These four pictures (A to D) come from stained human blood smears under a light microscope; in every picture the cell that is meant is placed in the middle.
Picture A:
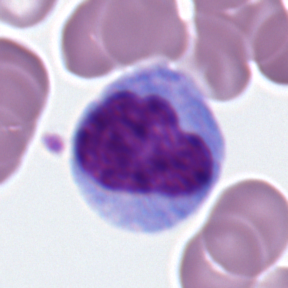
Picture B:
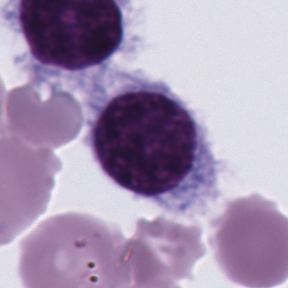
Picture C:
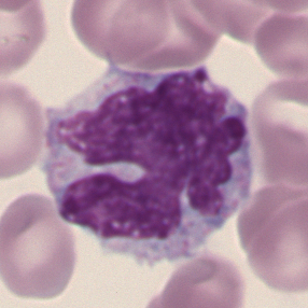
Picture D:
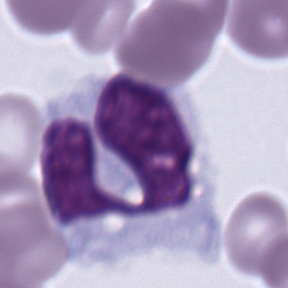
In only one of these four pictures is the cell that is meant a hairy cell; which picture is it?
B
